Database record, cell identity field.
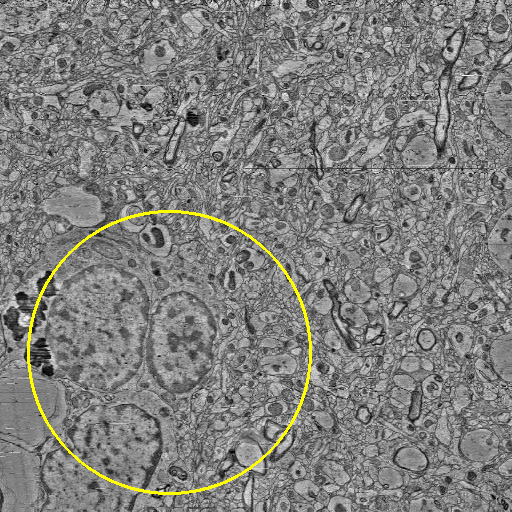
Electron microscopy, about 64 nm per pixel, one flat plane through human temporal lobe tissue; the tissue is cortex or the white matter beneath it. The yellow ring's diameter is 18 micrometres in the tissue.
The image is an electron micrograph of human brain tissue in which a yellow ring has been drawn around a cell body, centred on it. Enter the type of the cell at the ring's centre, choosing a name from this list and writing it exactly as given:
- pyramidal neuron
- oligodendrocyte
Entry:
oligodendrocyte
